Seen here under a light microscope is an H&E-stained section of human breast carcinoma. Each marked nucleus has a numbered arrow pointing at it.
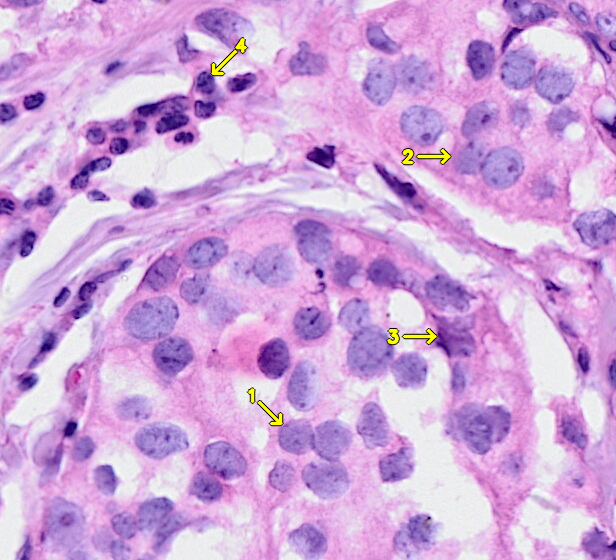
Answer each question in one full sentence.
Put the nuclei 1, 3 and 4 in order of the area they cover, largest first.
By area, largest first, they run 3, 1, 4.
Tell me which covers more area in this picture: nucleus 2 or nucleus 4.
At about 3 times the area of nucleus 4, nucleus 2 is the larger of the two.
